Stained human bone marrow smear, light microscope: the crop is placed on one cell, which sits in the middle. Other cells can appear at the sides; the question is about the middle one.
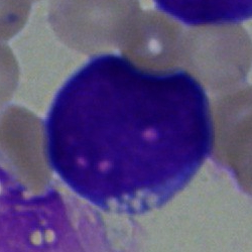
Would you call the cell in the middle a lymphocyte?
no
